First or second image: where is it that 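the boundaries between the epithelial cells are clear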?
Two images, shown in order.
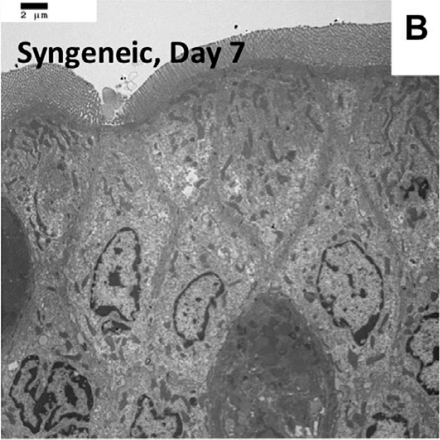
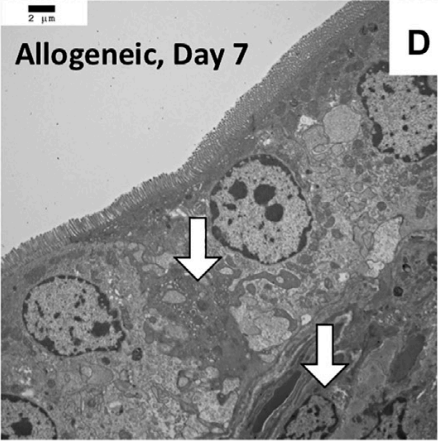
The first image.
